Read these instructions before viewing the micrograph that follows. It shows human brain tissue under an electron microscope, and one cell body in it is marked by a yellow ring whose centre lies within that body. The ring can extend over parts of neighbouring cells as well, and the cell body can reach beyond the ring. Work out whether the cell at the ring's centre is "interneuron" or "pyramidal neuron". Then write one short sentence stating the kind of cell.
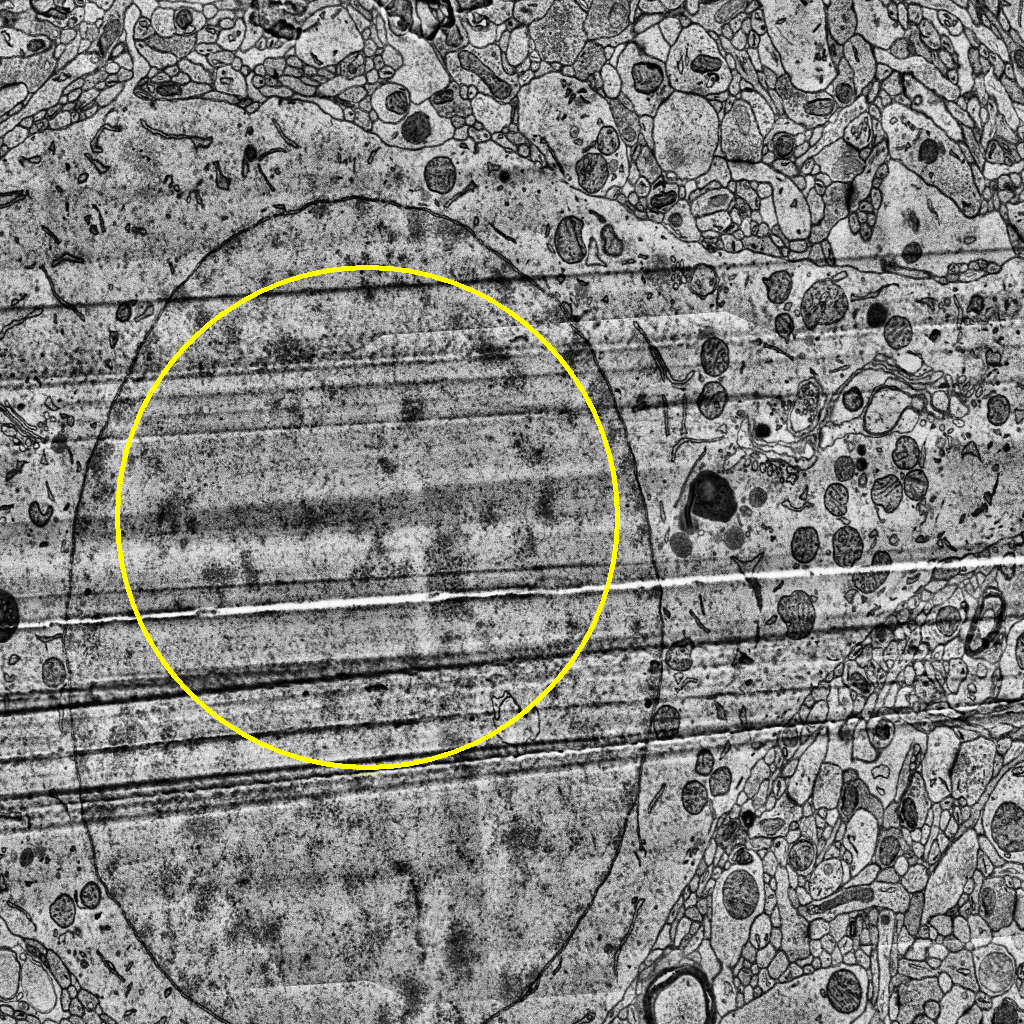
The cell at the ring's centre is a pyramidal neuron.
